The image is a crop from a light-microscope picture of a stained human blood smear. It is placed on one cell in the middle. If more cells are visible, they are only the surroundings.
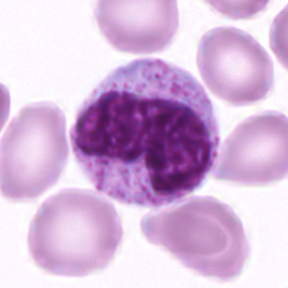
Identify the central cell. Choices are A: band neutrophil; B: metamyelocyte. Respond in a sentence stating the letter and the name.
This one is option A, since the cell at the center is a band neutrophil.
